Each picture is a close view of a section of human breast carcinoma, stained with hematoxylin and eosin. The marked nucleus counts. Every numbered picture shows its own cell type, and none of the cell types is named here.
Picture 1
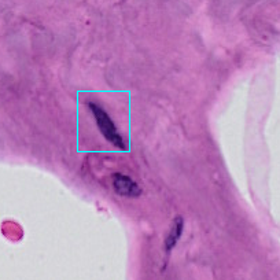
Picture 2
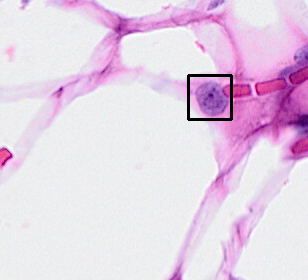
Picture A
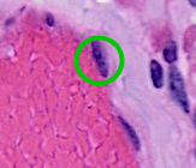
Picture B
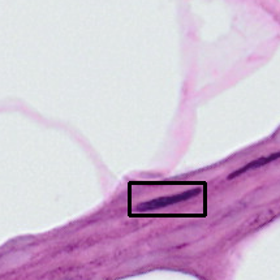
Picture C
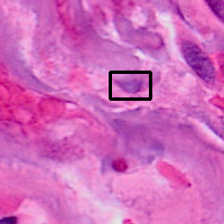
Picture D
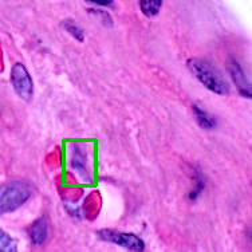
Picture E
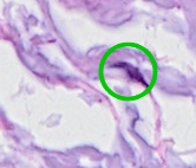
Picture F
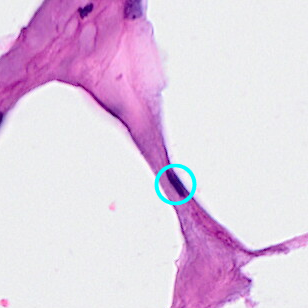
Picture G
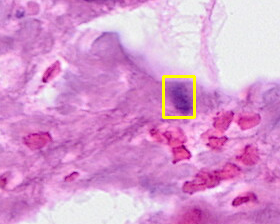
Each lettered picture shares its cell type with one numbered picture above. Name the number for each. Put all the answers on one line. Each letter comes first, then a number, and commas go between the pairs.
A 2, B 1, C 1, D 2, E 1, F 1, G 1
